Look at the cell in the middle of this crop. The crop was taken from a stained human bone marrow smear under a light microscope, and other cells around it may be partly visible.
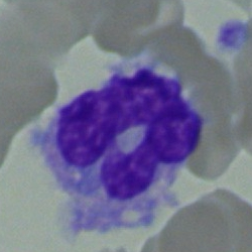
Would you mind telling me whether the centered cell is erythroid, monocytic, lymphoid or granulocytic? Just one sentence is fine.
It is the monocytic lineage to which the central cell belongs.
